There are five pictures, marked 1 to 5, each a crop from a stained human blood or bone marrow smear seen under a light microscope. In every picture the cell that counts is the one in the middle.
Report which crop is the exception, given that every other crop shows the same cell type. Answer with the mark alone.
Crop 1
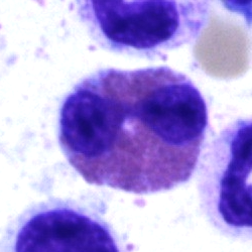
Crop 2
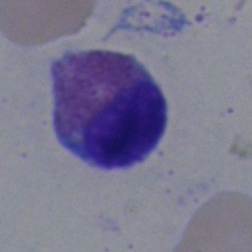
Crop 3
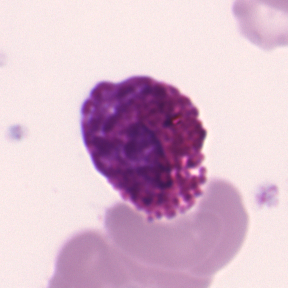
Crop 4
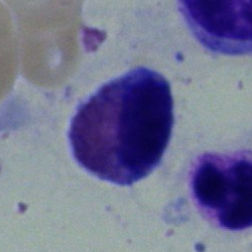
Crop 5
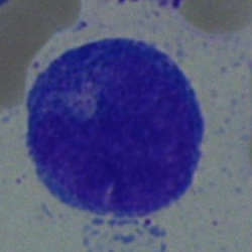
5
